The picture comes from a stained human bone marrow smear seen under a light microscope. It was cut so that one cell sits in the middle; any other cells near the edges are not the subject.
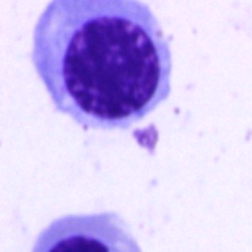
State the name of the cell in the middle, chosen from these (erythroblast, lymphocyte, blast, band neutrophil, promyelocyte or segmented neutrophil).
erythroblast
